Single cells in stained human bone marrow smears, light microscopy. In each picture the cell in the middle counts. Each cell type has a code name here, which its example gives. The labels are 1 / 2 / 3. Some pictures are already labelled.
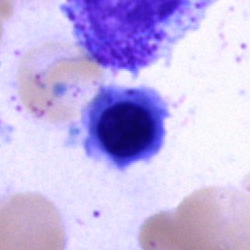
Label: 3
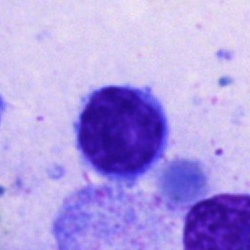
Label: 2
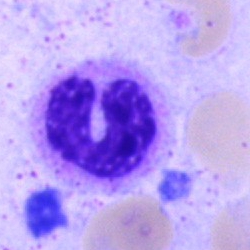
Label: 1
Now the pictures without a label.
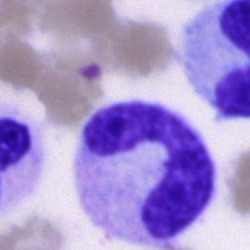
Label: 1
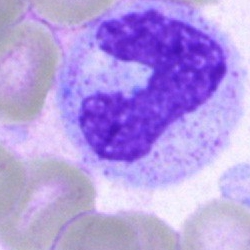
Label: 1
